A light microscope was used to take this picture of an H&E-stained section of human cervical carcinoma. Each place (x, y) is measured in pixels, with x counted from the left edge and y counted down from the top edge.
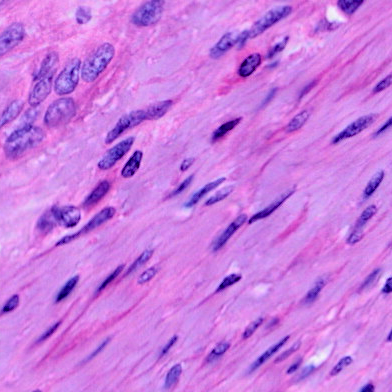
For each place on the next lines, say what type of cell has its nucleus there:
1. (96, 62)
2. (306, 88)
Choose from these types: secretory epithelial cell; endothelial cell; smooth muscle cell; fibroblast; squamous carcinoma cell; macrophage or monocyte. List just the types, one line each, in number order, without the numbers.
endothelial cell
smooth muscle cell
